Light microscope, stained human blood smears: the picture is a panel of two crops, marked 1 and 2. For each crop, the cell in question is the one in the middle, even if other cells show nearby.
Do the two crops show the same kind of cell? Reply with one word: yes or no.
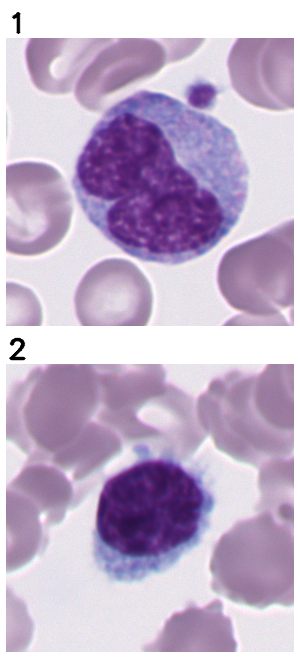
no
